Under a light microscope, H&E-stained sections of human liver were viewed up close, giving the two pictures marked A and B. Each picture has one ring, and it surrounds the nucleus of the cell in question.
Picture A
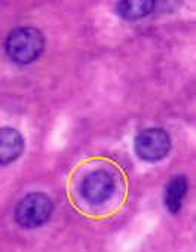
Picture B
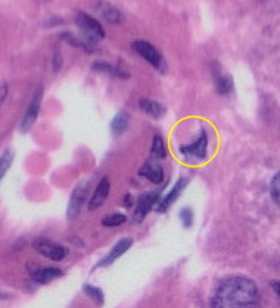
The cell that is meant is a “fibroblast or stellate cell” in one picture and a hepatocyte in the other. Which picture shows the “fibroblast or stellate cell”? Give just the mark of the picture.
B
